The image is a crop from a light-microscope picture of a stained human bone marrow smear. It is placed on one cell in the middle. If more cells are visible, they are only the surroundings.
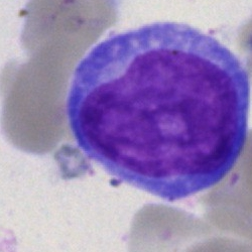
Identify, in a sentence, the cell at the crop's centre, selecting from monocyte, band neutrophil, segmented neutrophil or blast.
The cell marked by its central position in the crop is a blast.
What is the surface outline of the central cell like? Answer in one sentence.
No projections interrupt the outline; it is smooth all the way round.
